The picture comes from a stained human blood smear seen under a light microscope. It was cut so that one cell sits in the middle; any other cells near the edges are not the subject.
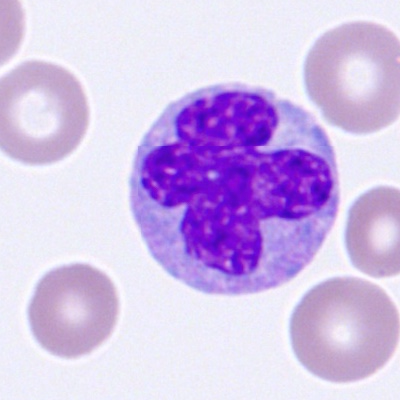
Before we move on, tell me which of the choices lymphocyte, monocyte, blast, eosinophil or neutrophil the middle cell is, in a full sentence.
The crop's centre is taken up by a monocyte.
